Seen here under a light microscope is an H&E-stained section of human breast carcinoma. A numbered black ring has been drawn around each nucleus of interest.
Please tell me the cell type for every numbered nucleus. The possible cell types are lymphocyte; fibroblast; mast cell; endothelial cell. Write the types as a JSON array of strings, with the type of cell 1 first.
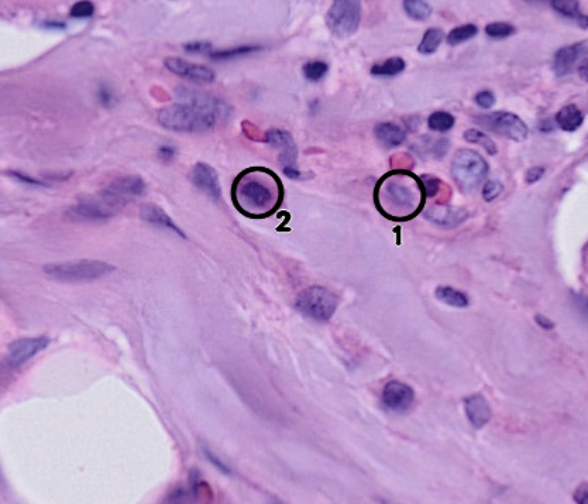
["endothelial cell", "mast cell"]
